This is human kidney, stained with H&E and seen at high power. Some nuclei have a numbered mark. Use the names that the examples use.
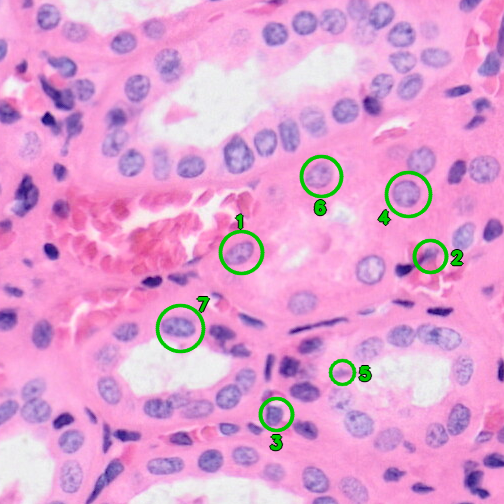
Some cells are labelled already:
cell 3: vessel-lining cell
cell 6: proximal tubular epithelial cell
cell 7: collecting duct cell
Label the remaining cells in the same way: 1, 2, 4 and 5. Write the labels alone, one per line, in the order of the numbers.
proximal tubular epithelial cell
vessel-lining cell
proximal tubular epithelial cell
collecting duct cell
